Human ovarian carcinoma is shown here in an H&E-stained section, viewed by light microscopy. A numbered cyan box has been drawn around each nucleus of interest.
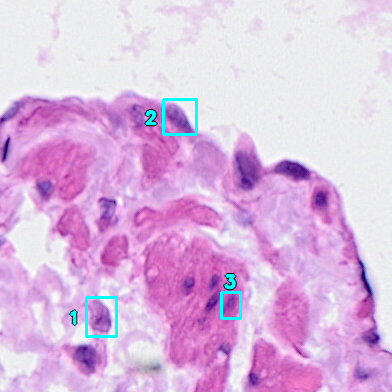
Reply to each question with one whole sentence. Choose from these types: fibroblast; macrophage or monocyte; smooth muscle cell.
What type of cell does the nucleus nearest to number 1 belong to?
Closest to number 1 lies the nucleus of a macrophage or monocyte.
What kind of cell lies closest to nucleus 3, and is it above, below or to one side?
It is a smooth muscle cell, whose nucleus lies to the left of nucleus 3.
